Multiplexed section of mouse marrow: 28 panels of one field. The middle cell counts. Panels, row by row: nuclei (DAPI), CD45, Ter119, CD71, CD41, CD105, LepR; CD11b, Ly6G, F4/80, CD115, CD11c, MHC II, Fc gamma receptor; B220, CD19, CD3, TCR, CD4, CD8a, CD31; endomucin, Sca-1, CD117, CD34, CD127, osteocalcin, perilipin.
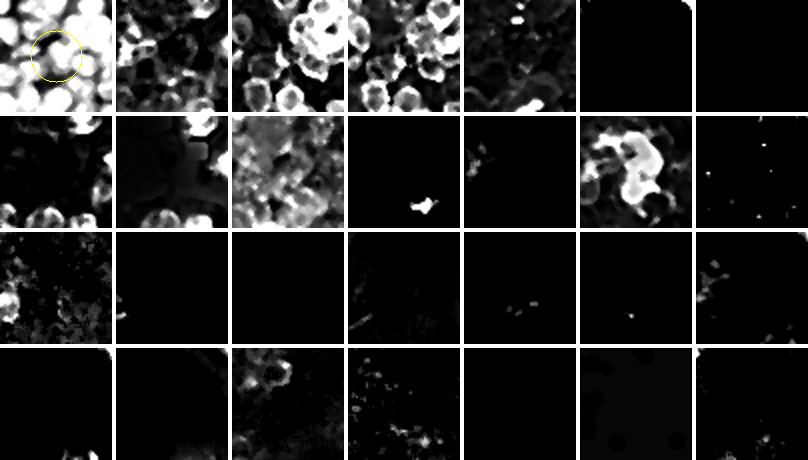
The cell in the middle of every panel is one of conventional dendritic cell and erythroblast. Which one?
erythroblast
